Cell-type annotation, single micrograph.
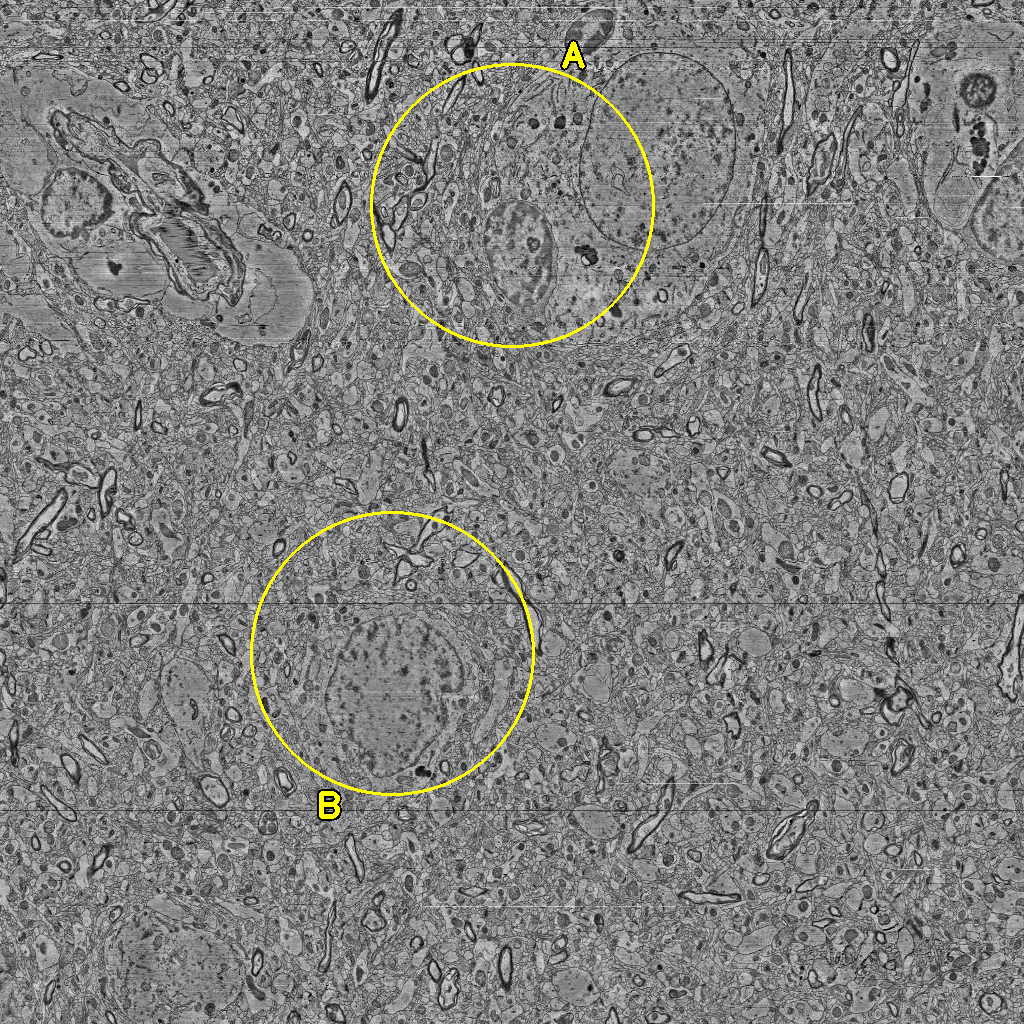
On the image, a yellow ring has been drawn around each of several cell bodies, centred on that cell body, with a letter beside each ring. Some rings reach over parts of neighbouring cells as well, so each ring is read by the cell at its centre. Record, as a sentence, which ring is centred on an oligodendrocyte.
Ring A is centred on it.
